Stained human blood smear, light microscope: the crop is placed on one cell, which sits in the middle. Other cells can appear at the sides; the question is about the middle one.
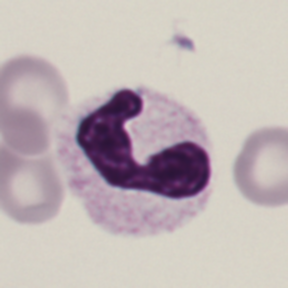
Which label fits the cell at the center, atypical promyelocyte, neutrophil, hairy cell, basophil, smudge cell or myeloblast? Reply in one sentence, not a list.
The middle of this crop is occupied by a neutrophil.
